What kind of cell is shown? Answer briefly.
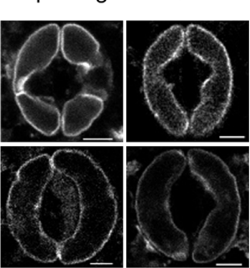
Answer: Guard cells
